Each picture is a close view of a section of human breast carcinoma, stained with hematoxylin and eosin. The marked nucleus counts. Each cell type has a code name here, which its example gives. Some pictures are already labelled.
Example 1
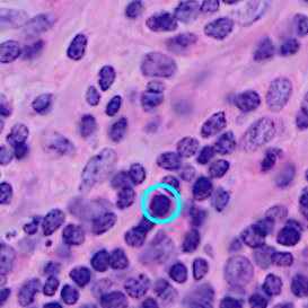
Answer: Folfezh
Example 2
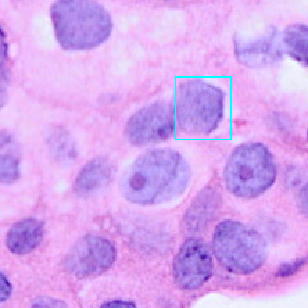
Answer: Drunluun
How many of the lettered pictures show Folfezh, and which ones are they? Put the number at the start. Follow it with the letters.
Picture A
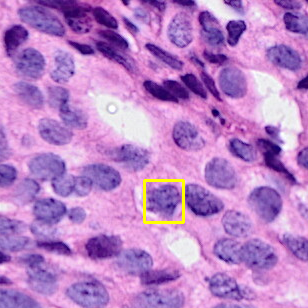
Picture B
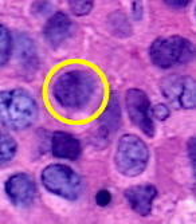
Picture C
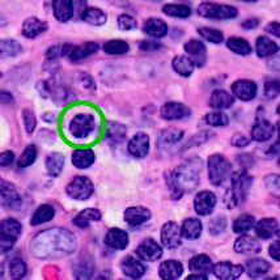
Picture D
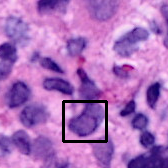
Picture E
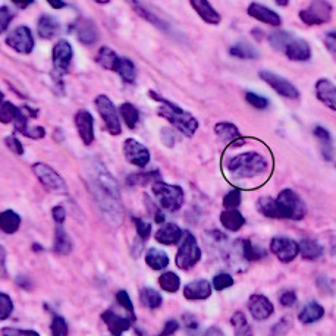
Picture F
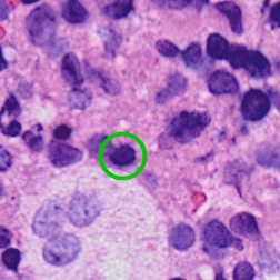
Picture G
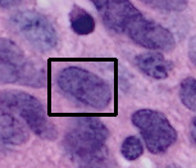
2: C, E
